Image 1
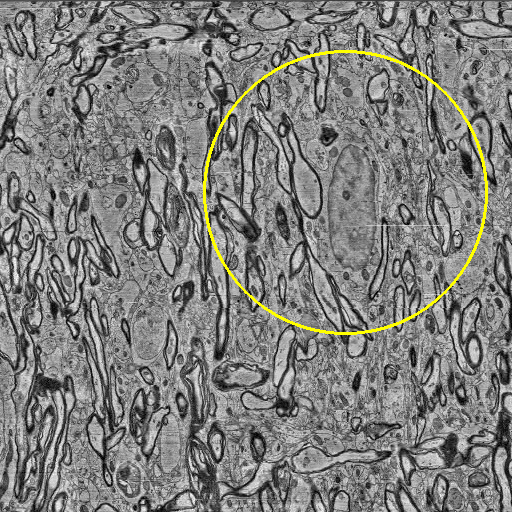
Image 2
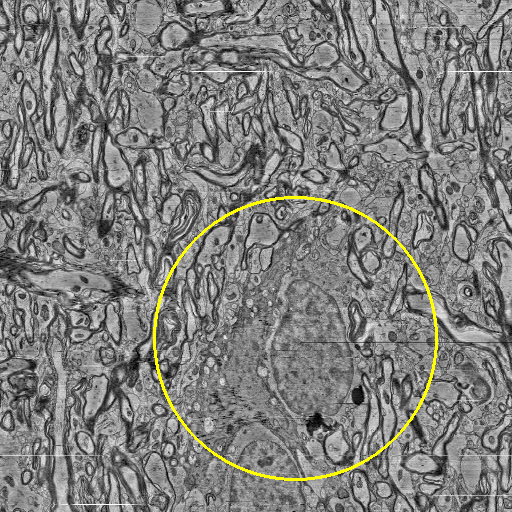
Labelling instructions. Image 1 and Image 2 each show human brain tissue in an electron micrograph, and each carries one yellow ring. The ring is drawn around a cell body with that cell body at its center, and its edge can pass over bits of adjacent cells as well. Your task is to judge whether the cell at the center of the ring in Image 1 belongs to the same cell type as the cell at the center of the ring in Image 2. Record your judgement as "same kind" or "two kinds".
same kind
